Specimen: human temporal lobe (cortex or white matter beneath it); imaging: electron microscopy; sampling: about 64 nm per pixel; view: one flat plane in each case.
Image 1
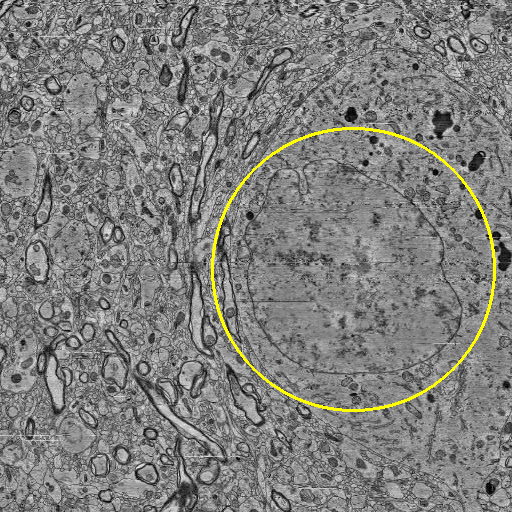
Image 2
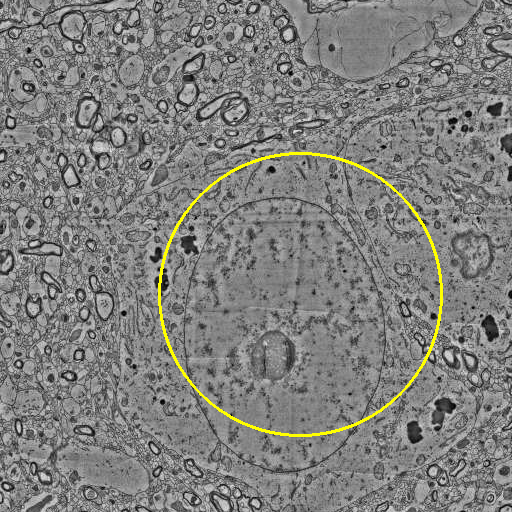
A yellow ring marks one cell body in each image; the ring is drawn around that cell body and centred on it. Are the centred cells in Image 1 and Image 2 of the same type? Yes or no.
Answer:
yes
